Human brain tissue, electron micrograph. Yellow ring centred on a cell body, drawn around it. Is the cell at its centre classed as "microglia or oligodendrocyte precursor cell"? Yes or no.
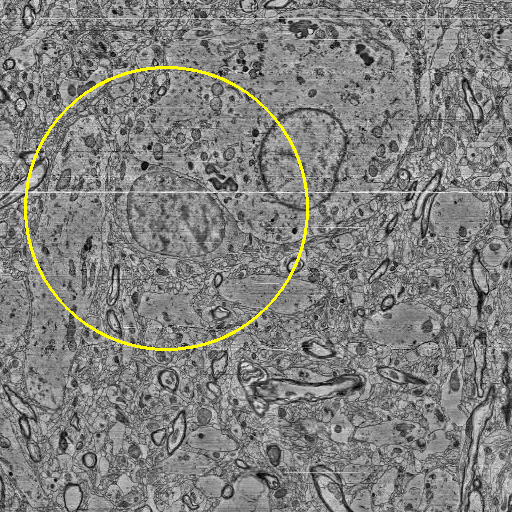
No, it is classed as another kind.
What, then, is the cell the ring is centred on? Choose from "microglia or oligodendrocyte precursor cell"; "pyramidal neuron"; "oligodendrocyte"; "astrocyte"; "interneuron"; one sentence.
The cell at the middle of the ring is an oligodendrocyte.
